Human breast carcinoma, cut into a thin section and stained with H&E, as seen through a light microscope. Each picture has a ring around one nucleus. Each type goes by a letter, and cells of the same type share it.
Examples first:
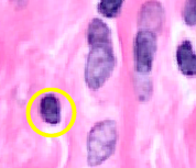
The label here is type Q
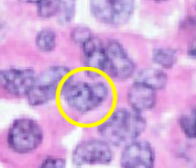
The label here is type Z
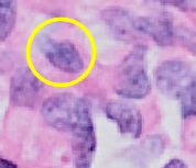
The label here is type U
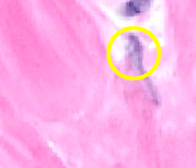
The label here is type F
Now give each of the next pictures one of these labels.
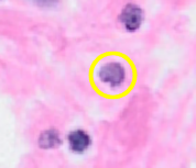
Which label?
type Q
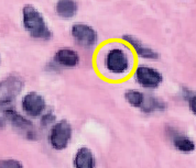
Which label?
type Q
